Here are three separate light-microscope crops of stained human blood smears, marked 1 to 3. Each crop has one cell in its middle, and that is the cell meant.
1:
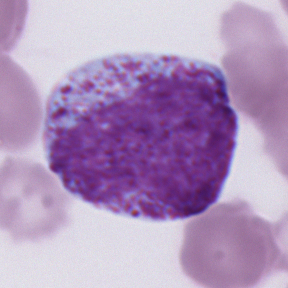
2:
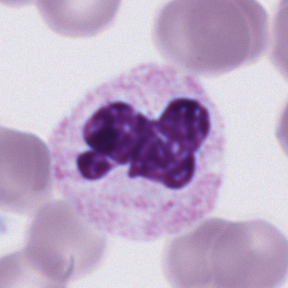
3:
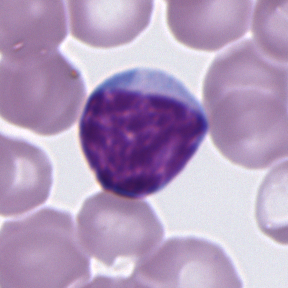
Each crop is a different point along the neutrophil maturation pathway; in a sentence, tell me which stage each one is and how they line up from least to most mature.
Moving up in maturity, the order goes crop 3 (a myeloblast), crop 1 (a myelocyte) and crop 2 (a segmented neutrophil).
